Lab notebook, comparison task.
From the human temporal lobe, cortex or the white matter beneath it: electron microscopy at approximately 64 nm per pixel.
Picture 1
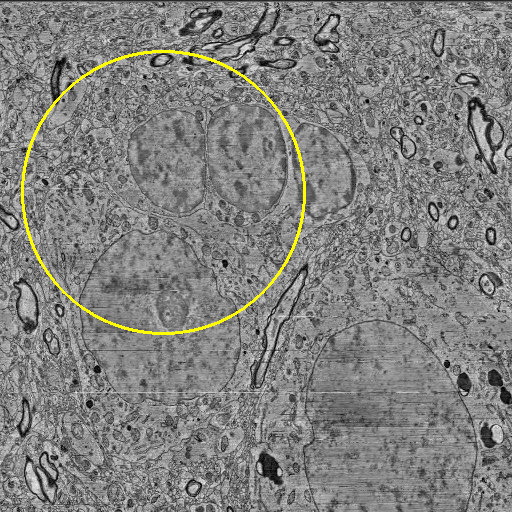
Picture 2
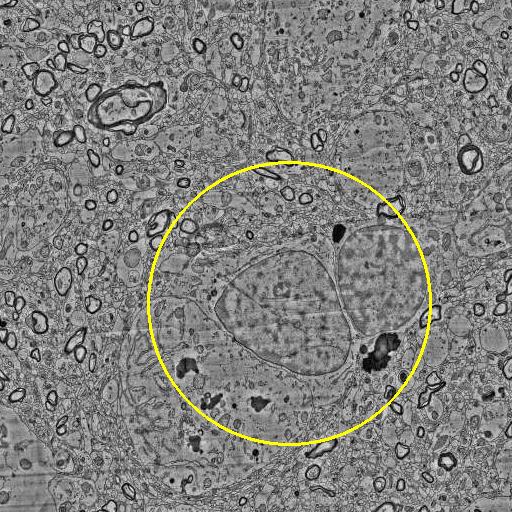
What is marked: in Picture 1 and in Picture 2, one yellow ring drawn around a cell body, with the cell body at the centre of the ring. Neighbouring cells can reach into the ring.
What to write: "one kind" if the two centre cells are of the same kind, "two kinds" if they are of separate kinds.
two kinds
